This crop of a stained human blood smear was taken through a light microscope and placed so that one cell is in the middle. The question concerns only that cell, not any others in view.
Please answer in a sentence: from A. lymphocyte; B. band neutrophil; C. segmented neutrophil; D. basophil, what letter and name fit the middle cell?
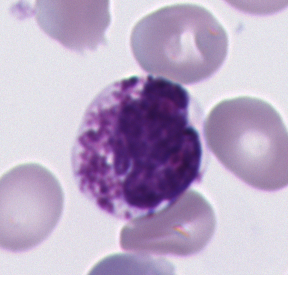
The cell at the heart of the crop is a basophil, so choose option D.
